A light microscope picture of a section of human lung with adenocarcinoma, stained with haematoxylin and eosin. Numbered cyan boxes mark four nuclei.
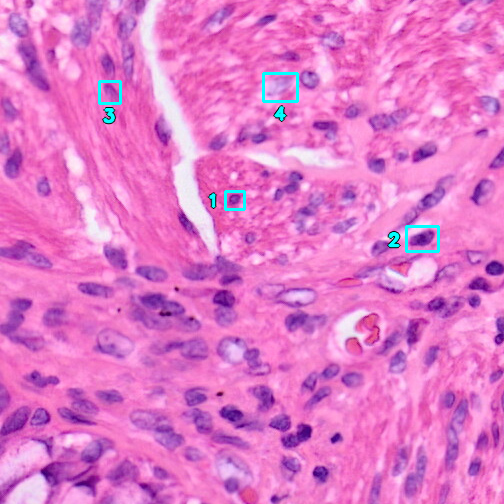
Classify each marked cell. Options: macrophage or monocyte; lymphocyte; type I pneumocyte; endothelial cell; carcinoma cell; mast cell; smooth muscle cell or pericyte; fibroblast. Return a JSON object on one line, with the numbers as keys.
{"1": "smooth muscle cell or pericyte", "2": "lymphocyte", "3": "smooth muscle cell or pericyte", "4": "smooth muscle cell or pericyte"}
